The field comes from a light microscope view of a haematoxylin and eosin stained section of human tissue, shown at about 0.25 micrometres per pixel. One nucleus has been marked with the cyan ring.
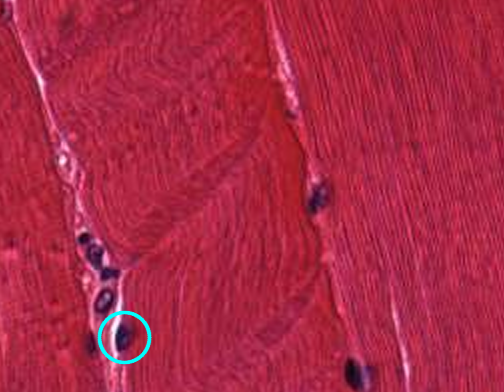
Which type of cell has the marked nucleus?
skeletal muscle fibre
